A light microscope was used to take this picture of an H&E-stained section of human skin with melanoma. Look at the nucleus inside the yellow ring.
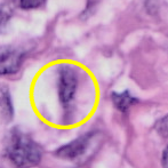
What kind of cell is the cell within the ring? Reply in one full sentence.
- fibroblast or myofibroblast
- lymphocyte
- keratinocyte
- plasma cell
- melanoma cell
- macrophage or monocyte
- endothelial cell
It is as a melanoma cell that the cell within the ring is classified.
